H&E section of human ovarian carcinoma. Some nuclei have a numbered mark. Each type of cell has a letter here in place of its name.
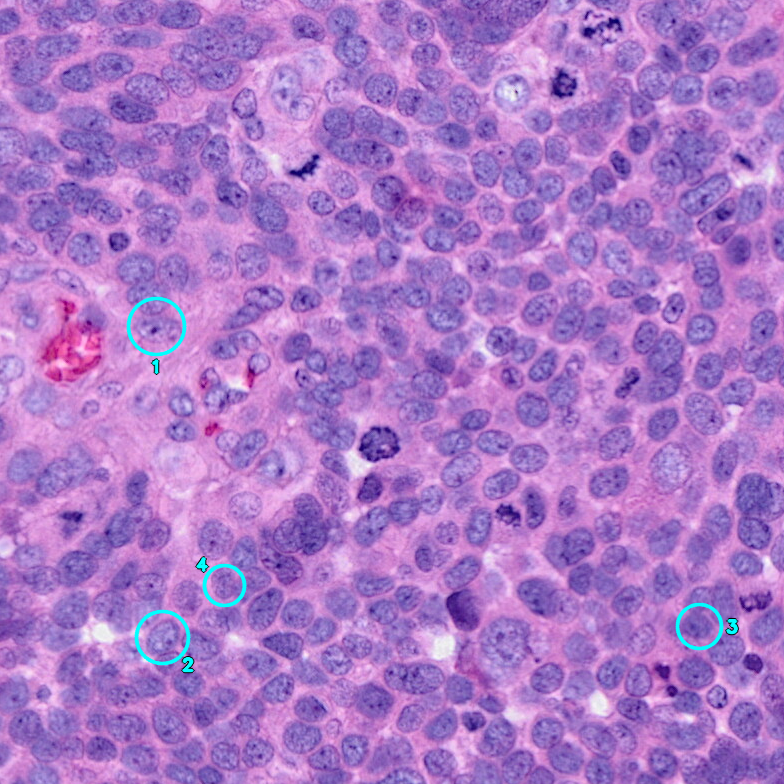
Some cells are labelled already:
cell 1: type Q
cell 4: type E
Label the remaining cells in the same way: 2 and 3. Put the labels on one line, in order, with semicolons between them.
type E; type E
